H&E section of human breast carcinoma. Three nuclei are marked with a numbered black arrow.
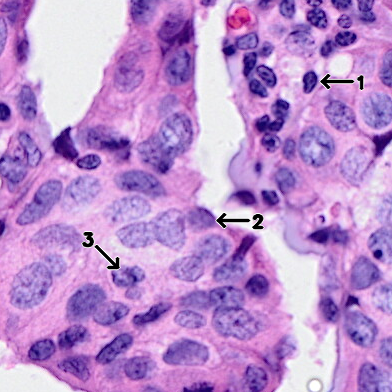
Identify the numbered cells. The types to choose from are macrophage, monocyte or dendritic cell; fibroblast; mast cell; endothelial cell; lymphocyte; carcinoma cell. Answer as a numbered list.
1. lymphocyte
2. carcinoma cell
3. carcinoma cell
